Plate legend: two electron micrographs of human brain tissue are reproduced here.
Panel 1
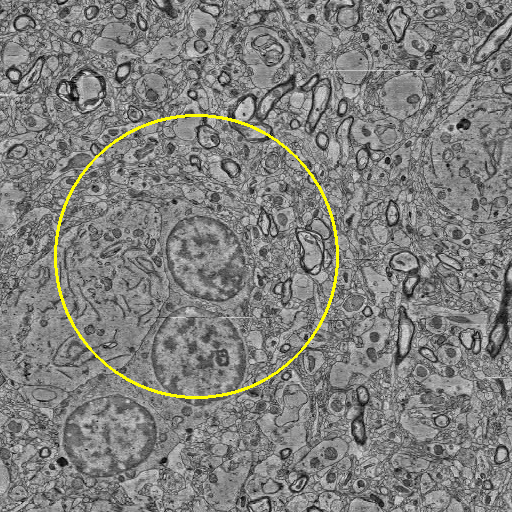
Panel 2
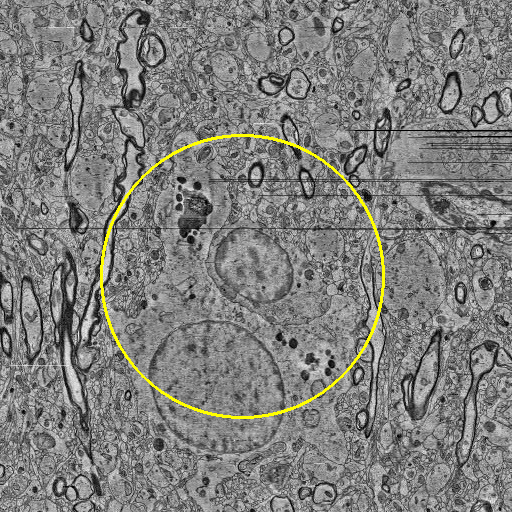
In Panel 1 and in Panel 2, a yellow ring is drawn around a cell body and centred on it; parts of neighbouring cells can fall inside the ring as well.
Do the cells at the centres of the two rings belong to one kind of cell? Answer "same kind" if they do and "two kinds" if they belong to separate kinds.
same kind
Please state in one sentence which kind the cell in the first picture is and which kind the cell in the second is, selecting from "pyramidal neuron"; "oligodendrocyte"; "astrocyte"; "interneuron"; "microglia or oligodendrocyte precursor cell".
Both rings mark an oligodendrocyte, one in each picture.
